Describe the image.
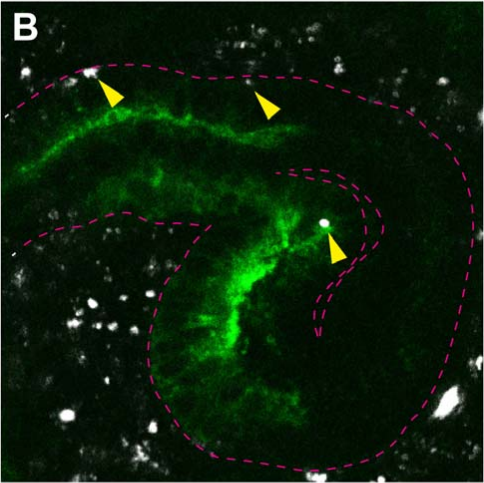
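An upper arm of the tube carries a thinner green line. Bright white dots lie scattered in the surrounding tissue, and a few sit on or beside the tubule.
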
